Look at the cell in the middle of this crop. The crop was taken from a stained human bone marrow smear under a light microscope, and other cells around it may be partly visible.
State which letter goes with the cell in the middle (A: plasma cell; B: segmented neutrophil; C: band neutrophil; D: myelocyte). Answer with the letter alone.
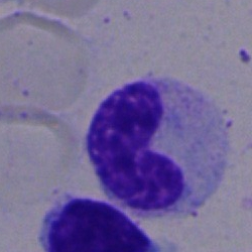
C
